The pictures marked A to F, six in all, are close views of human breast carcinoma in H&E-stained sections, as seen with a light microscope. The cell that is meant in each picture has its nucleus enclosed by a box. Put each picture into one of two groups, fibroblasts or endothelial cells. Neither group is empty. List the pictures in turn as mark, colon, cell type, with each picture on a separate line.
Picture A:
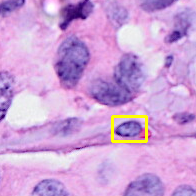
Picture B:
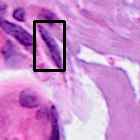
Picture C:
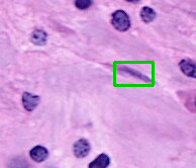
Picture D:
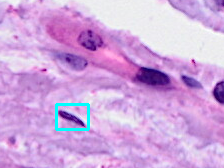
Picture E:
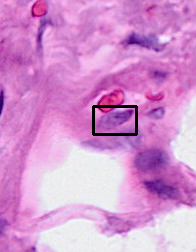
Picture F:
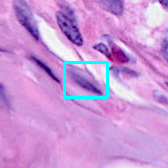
A: endothelial cell
B: fibroblast
C: fibroblast
D: fibroblast
E: endothelial cell
F: fibroblast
